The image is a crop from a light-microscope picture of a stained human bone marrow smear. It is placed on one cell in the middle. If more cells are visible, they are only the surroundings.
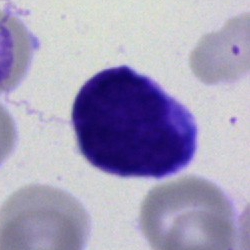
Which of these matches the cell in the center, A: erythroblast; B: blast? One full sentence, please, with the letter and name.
That middle cell is a blast, and option B is therefore correct.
